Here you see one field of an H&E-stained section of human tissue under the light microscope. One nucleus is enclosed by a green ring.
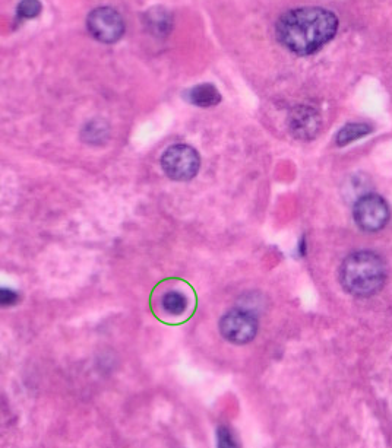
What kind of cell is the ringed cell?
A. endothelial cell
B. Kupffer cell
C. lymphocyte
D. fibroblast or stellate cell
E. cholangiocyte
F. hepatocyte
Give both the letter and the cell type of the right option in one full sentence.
Option C is the right choice, for the ringed cell is a lymphocyte.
